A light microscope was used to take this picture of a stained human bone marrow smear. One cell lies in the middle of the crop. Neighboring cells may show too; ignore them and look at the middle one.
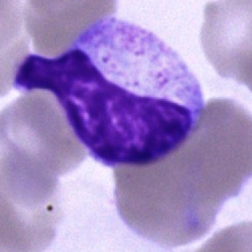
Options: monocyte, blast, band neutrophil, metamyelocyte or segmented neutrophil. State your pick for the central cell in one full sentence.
The crop shows a metamyelocyte in its centre.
